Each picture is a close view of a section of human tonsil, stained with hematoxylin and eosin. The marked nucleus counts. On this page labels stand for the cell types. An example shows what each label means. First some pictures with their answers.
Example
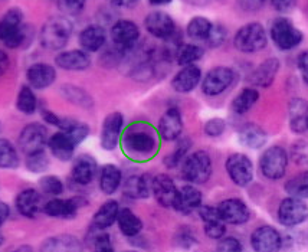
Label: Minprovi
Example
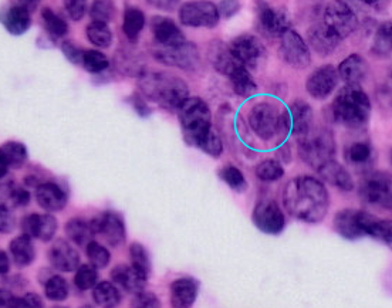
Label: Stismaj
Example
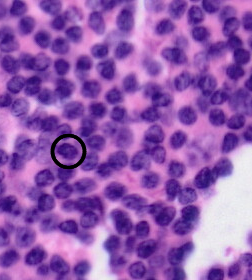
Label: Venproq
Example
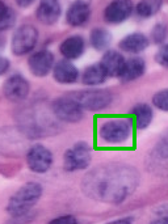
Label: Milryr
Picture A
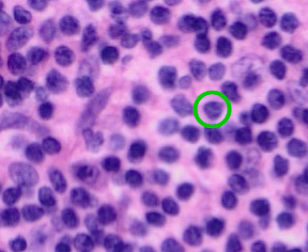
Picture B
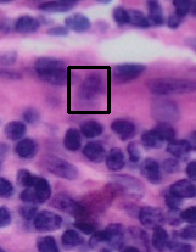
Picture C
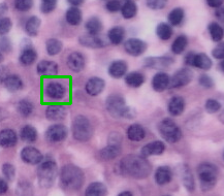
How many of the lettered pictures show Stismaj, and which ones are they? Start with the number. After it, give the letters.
0, none of them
